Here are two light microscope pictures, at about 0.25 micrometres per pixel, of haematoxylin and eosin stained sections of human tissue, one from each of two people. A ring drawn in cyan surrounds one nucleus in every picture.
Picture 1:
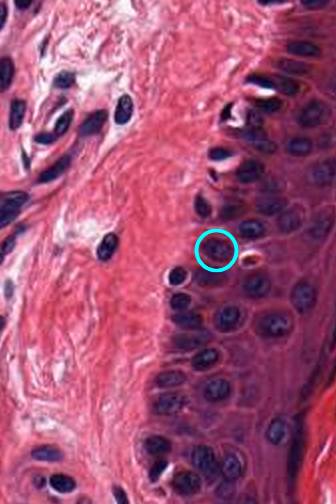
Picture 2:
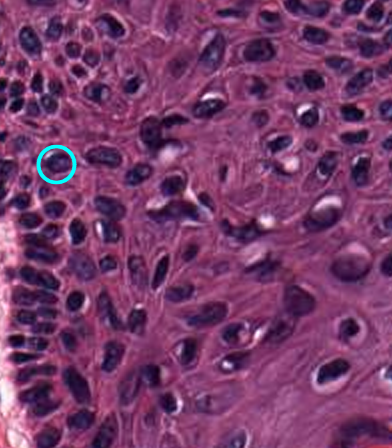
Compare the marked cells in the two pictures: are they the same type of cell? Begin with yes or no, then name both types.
Yes, both are keratinocytes.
